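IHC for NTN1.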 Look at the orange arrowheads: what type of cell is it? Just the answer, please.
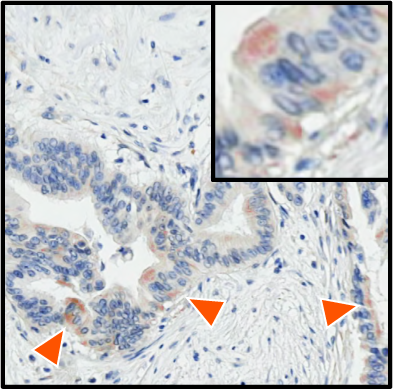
ductal cells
